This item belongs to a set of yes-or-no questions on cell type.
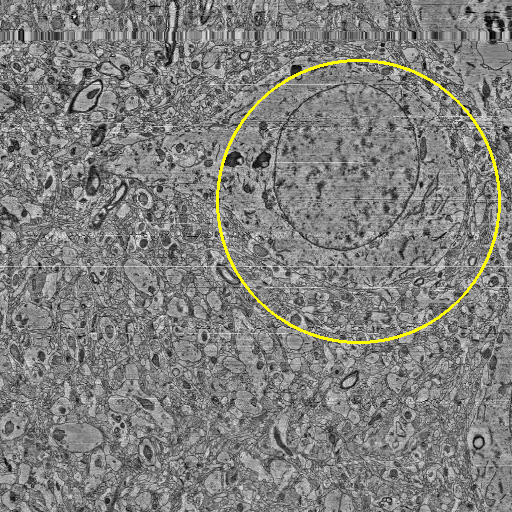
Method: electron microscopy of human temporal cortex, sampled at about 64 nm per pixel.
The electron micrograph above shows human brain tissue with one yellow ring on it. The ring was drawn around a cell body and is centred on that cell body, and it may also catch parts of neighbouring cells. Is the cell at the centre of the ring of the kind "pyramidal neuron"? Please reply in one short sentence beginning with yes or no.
Yes, that cell is of the named kind.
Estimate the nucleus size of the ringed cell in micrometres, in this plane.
Roughly 11 by 9 micrometres is the size of the nucleus in this plane.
